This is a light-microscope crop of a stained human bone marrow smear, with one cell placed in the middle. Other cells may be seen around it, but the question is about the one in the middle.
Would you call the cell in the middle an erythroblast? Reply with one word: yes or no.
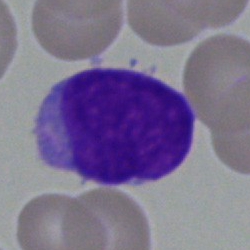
no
